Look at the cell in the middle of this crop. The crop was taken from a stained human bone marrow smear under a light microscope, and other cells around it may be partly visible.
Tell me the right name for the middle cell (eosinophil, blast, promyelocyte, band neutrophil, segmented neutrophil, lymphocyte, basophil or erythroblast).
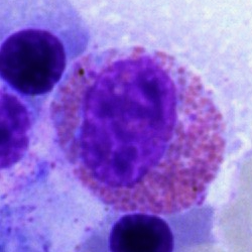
eosinophil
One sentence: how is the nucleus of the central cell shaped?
Between us, the nucleus here is just one compact mass, round, oval or kidney-shaped.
